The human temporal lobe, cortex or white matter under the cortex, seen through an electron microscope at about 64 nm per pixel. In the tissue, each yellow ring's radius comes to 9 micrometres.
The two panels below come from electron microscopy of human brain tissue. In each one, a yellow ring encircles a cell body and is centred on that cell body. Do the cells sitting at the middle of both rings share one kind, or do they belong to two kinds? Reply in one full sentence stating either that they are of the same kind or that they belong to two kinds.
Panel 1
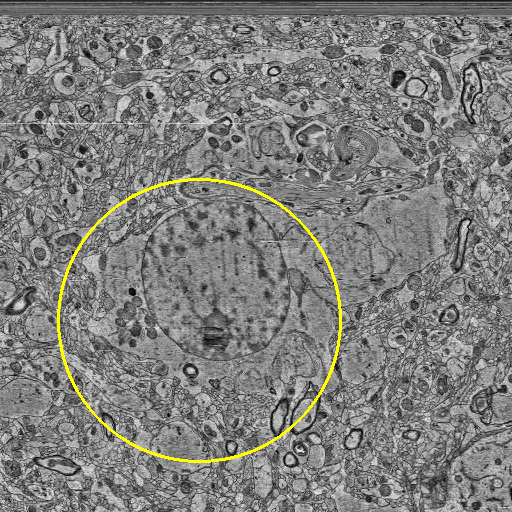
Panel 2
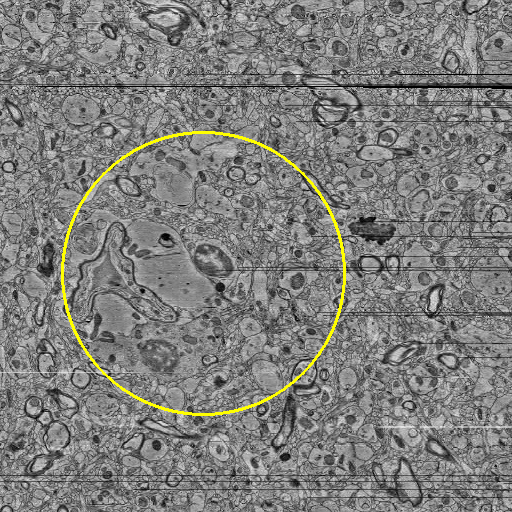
The cells at the centres of the two rings belong to two kinds.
